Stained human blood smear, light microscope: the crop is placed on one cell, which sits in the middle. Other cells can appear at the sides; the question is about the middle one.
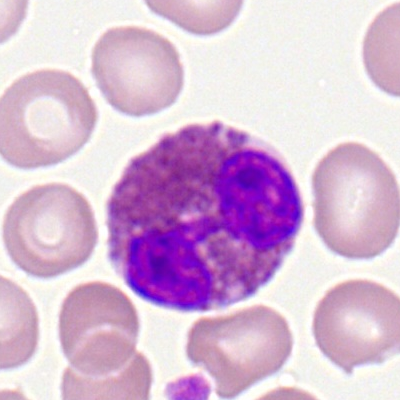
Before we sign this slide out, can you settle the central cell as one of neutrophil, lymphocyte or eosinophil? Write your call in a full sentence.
The middle position in this crop is taken by an eosinophil.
